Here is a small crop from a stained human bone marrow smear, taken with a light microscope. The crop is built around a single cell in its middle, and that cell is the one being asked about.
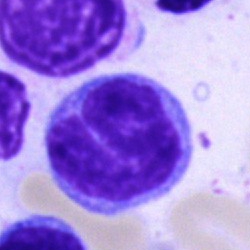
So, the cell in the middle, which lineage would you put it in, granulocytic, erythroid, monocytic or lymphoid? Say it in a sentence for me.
As for the cell in the middle, its lineage is monocytic.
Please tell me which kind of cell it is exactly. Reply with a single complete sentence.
Classified as a monocyte is the cell in the middle of this crop.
